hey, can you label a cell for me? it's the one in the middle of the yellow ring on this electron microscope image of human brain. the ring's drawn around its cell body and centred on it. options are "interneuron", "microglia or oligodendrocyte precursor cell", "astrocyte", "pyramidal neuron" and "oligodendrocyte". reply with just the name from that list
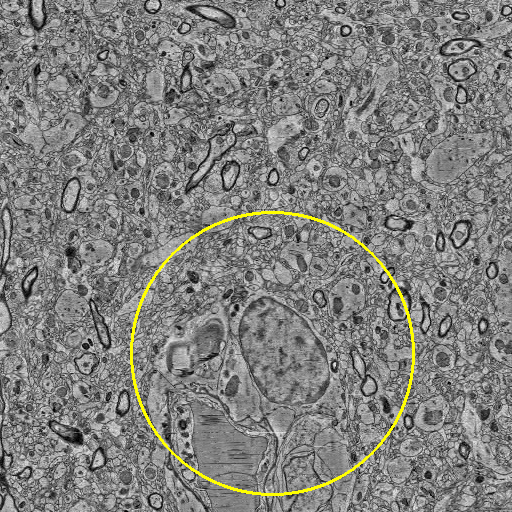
microglia or oligodendrocyte precursor cell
